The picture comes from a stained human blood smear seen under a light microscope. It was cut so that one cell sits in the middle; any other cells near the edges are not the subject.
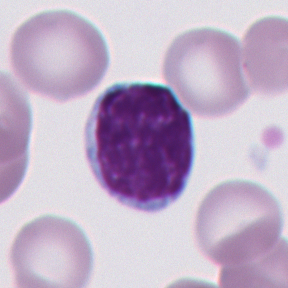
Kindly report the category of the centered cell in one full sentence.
Framed in the middle of the crop is a typical lymphocyte.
